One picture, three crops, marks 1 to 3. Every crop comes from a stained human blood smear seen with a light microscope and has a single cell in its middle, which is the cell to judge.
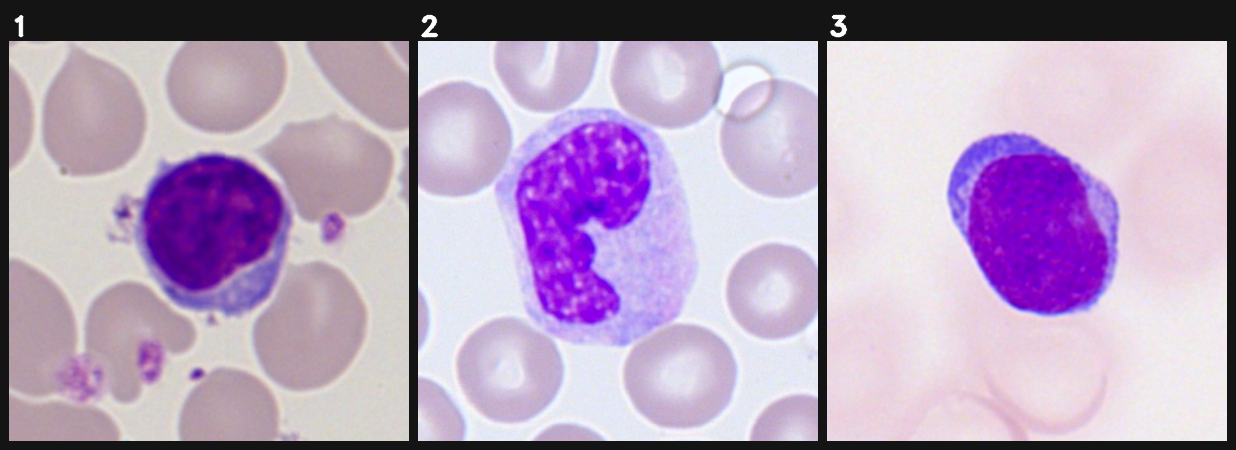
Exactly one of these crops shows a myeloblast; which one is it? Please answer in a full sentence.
The cell identified as a myeloblast is the one in crop 3.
